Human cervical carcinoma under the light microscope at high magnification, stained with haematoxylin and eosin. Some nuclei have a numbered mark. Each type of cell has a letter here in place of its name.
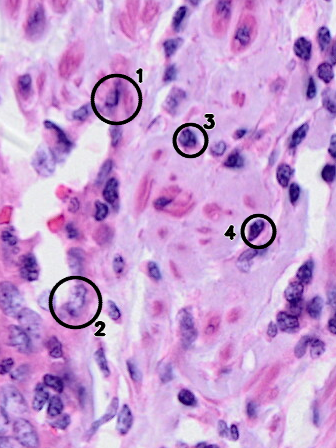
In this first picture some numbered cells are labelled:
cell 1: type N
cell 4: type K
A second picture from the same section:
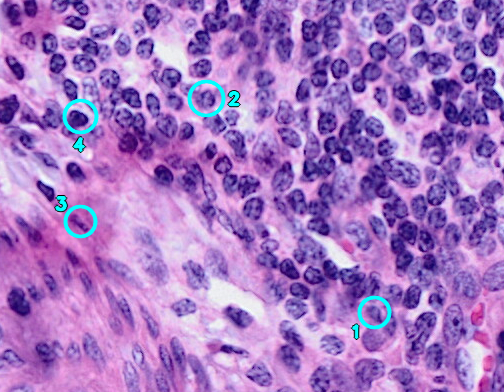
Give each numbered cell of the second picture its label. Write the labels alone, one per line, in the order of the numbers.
type K
type K
type N
type K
